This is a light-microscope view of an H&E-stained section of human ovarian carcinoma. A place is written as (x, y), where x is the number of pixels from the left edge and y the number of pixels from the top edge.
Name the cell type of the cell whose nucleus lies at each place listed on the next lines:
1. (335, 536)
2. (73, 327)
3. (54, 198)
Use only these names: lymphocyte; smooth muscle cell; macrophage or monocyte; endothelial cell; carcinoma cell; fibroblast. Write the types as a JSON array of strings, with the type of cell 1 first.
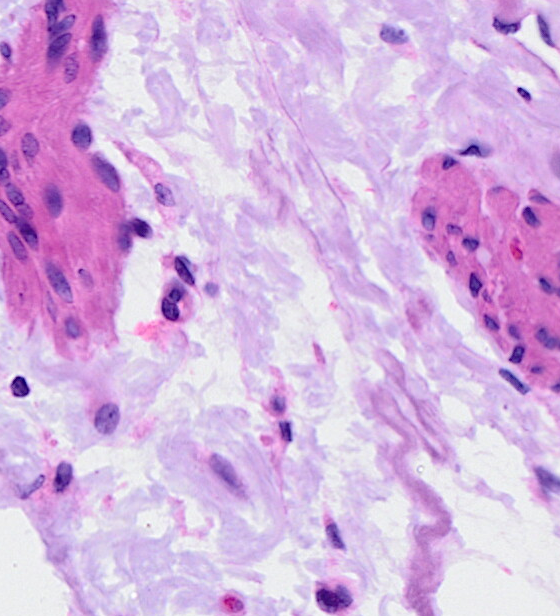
["fibroblast", "smooth muscle cell", "smooth muscle cell"]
